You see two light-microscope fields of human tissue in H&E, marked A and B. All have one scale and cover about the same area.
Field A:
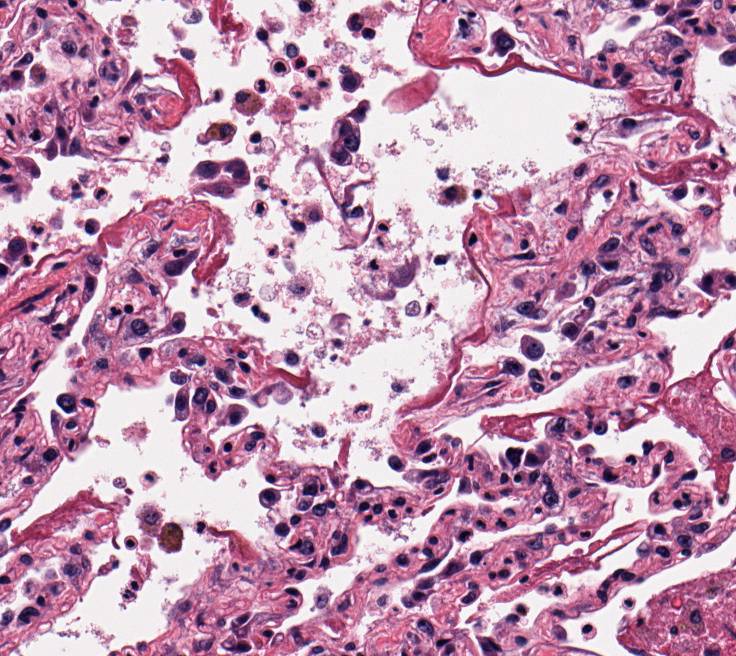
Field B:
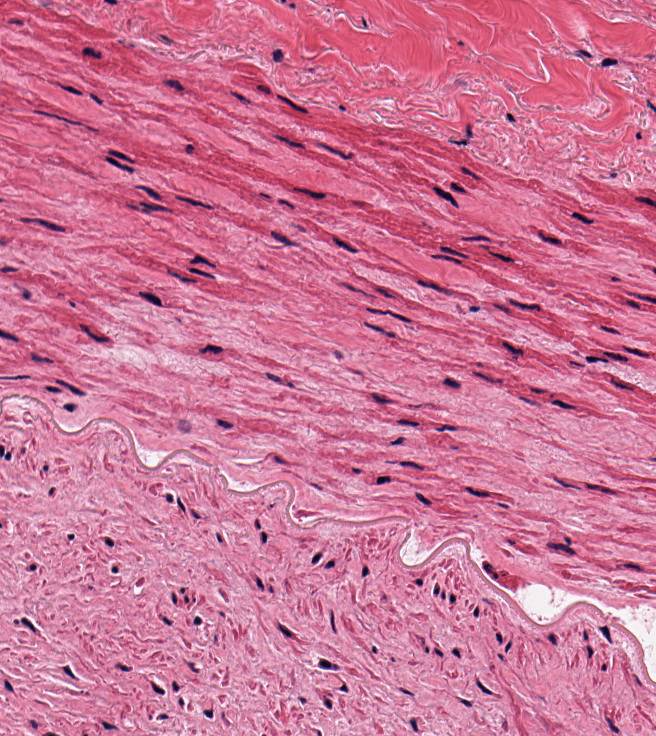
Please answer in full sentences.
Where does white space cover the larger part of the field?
Unstained space takes up more of field A than of field B.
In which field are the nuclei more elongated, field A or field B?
Longer, more slender nuclei lie in field B.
